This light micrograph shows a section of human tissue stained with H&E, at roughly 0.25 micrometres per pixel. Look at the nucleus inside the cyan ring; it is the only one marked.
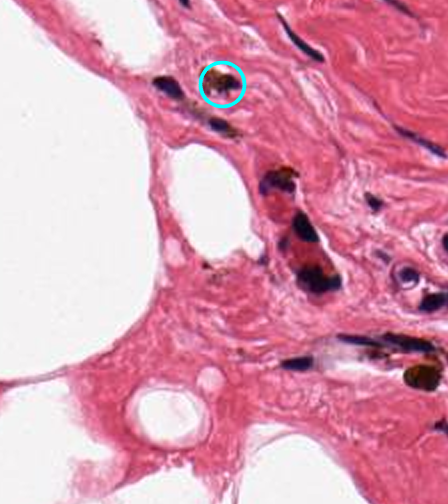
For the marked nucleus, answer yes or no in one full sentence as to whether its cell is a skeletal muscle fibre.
No, the marked nucleus is part of a supporting cell and does not belong to a skeletal muscle fibre.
